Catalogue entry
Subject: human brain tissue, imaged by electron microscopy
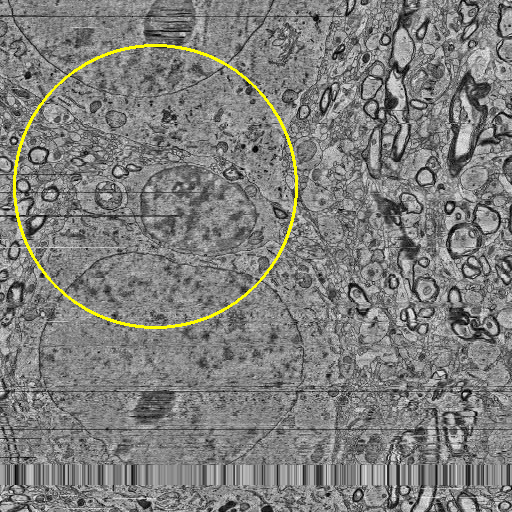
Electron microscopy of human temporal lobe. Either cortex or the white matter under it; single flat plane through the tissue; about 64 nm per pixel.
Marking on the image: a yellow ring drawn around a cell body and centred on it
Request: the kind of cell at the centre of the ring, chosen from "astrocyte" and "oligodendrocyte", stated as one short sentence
The ring has an oligodendrocyte at its centre.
